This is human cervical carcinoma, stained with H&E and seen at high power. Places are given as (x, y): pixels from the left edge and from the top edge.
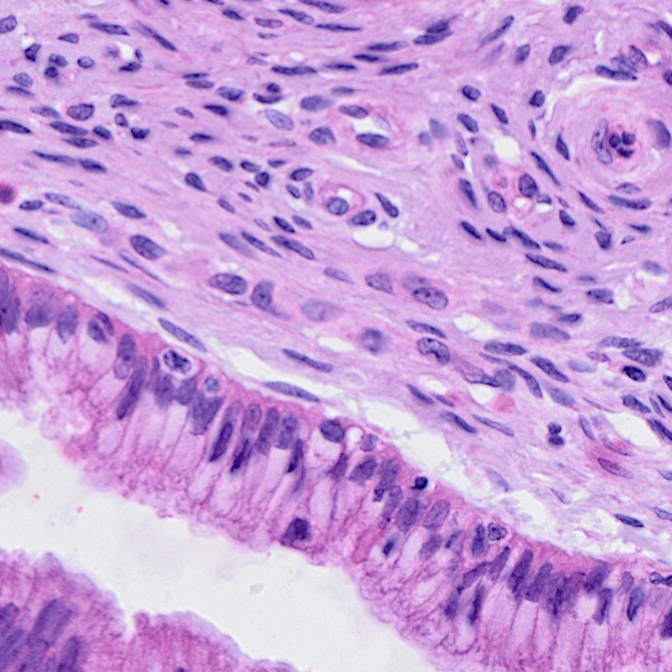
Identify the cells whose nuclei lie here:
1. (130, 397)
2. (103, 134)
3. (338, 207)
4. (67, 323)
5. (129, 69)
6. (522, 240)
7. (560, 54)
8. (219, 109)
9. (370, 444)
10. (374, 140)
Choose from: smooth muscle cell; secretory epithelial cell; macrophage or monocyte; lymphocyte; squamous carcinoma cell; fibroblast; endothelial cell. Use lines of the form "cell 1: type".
cell 1: secretory epithelial cell
cell 2: fibroblast
cell 3: endothelial cell
cell 4: secretory epithelial cell
cell 5: fibroblast
cell 6: fibroblast
cell 7: fibroblast
cell 8: fibroblast
cell 9: secretory epithelial cell
cell 10: endothelial cell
